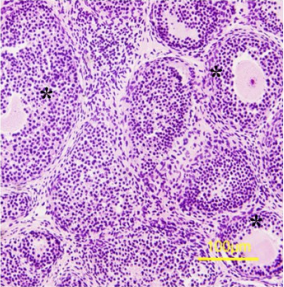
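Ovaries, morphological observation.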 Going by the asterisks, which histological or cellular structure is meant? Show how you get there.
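Rounded clusters of densely packed cells with dark purple nuclei. Pale pink spaces or a central large cell enclosed by these cell layers. The answer: follicles.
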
